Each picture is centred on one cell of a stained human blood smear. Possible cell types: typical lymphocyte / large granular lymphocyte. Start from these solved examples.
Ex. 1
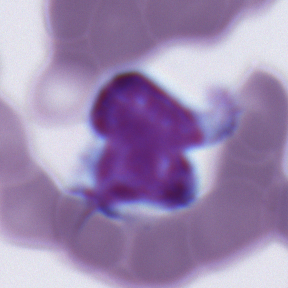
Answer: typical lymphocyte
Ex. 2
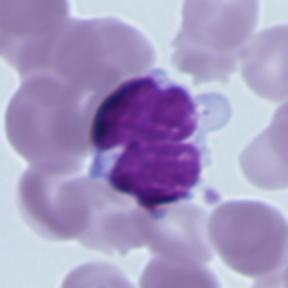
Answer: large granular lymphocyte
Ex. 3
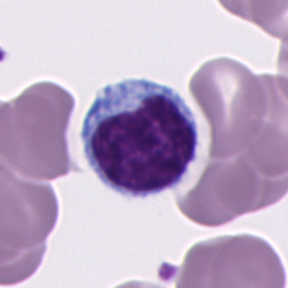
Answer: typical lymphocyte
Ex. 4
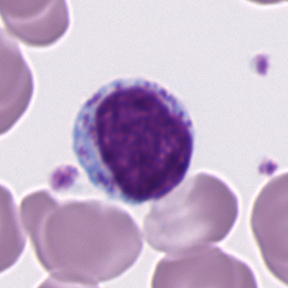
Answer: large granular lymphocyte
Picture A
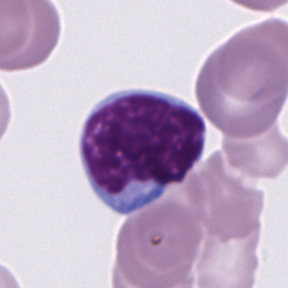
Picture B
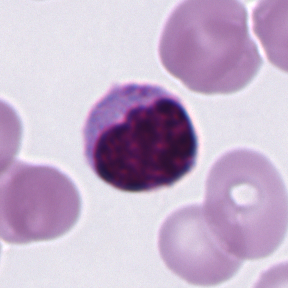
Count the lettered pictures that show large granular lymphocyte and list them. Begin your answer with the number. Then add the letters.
0, none of them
